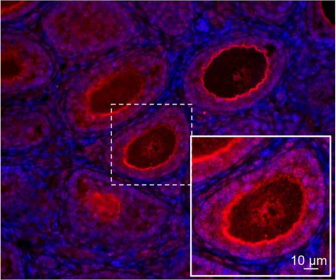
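Ovarian section with several growing follicles, each a large central oocyte surrounded by layers of small granulosa cells. Granulosa cells form a concentric multilayered shell with closely packed blue nuclei and fainter red cytoplasm. Between follicles lies stroma with scattered, more elongated blue nuclei. The inset enlarges one follicle, showing the bright red rim of the oocyte and the surrounding layers of granulosa cells.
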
